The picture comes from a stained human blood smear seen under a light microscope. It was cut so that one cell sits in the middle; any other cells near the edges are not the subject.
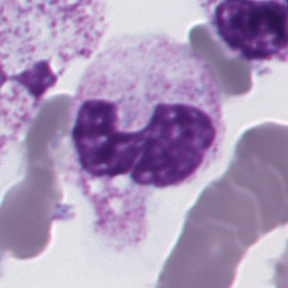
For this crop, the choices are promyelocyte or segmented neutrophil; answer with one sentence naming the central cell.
The cell centred in this crop is categorized as a segmented neutrophil.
